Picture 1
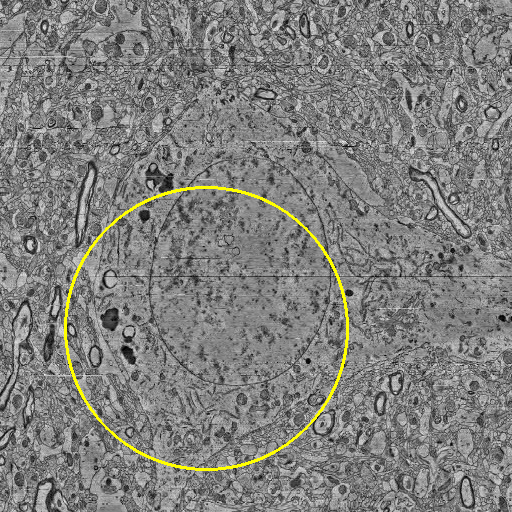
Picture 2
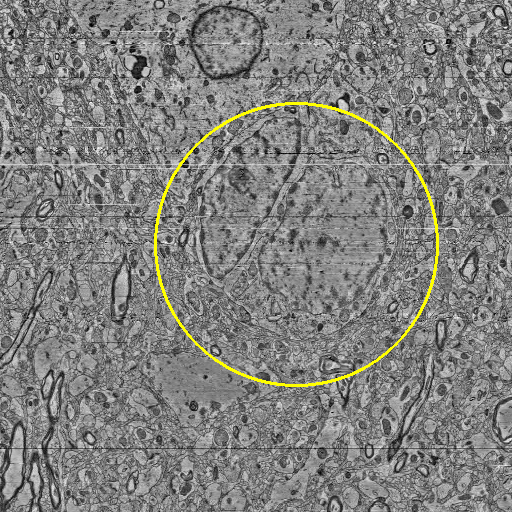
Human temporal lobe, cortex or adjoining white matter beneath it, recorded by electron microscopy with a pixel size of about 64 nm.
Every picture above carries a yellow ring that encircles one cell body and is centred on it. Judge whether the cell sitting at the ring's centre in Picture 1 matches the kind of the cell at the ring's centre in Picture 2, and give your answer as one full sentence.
No, the cells centred in the rings of Pictures 1 and 2 belong to two kinds.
